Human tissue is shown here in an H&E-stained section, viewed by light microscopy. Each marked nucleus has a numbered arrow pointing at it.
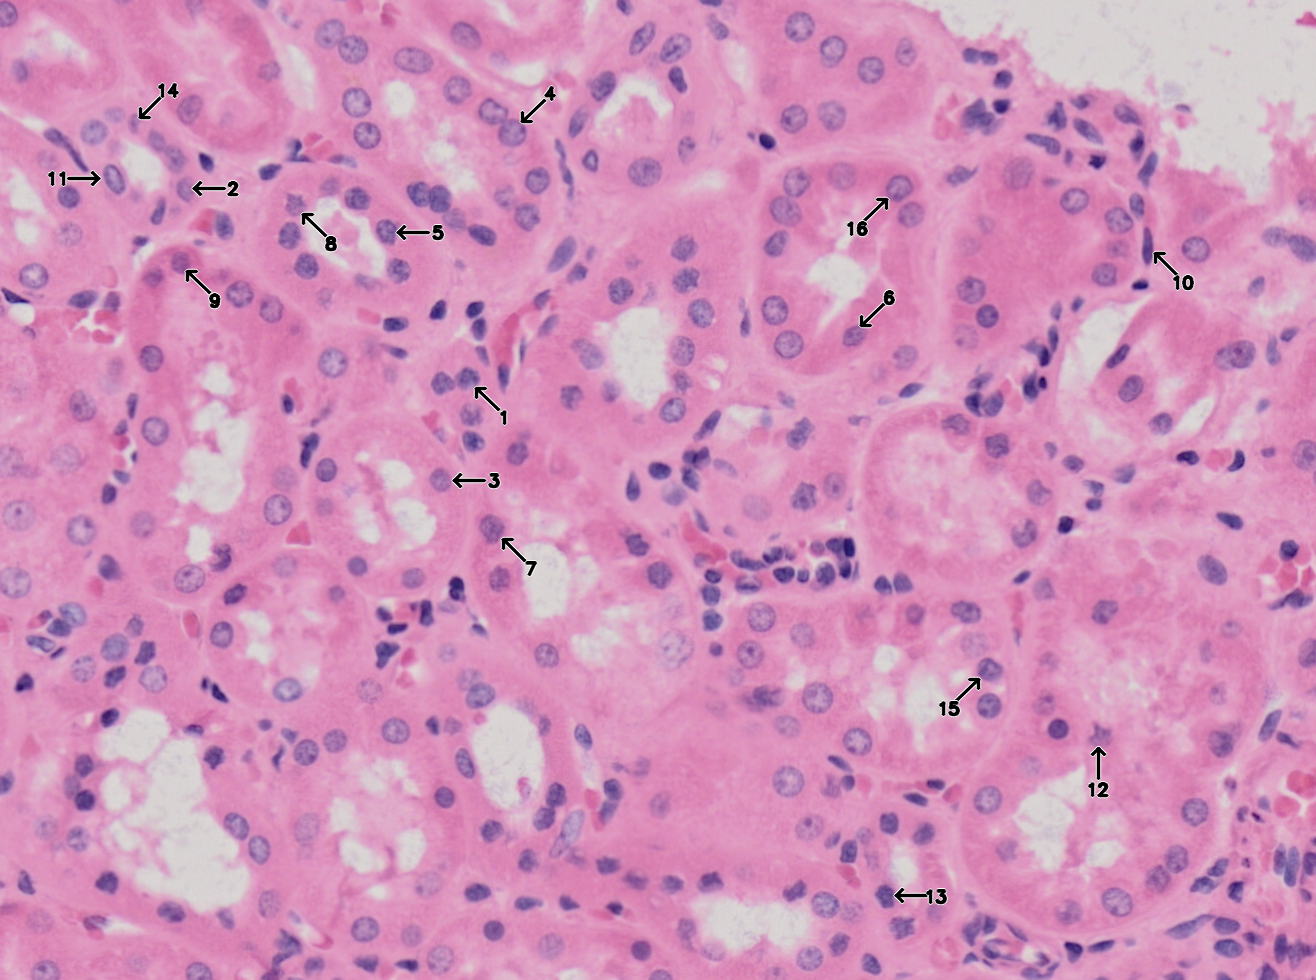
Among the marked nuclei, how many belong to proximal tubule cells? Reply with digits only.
8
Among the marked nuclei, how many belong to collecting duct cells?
3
